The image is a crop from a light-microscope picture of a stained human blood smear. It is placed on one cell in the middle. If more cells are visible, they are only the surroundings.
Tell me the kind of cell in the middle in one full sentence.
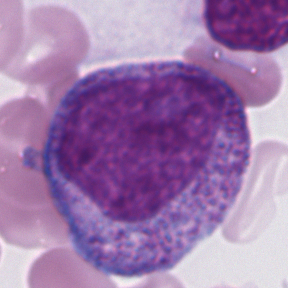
Standing at the centre of this crop is a promyelocyte.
